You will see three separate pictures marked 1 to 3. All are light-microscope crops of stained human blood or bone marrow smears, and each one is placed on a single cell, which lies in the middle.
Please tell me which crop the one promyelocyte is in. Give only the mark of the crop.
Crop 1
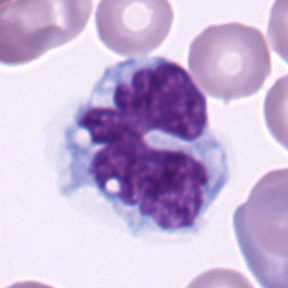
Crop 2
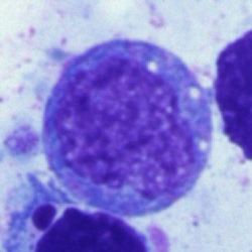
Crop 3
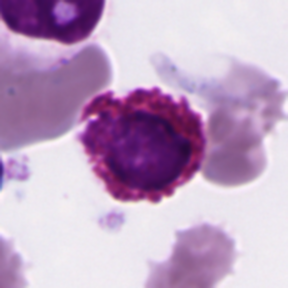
2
